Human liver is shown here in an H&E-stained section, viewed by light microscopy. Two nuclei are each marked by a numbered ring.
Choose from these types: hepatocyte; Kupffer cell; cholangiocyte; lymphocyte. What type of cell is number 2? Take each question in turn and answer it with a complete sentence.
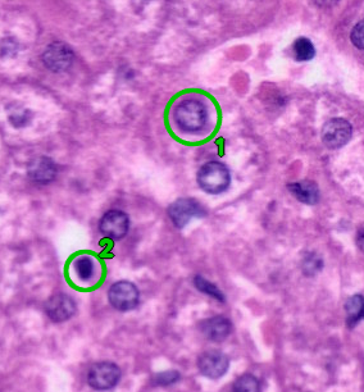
The mark numbered 2 indicates the nucleus of a lymphocyte.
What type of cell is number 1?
The cell identified by the number 1 is a hepatocyte.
